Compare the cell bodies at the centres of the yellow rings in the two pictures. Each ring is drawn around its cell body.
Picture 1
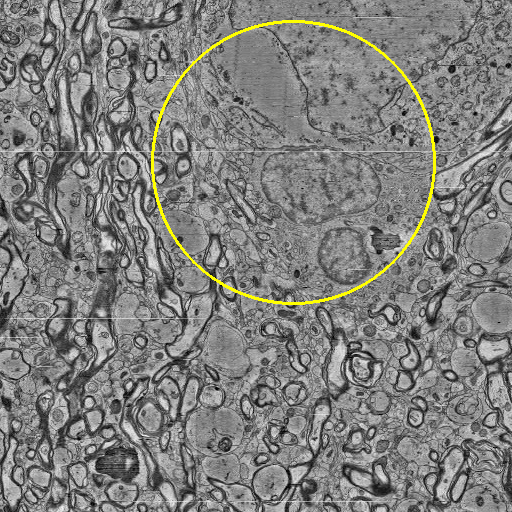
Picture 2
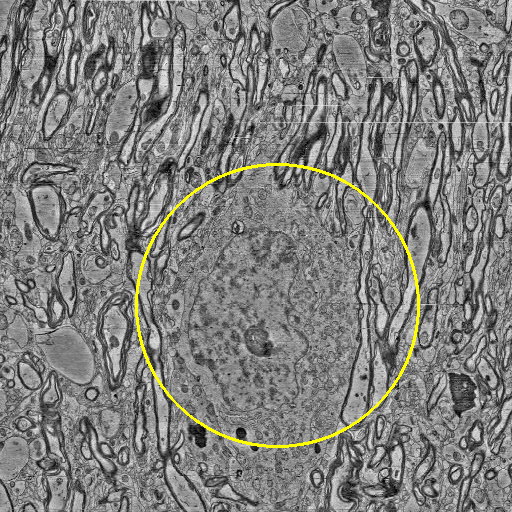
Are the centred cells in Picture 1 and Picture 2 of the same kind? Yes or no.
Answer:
no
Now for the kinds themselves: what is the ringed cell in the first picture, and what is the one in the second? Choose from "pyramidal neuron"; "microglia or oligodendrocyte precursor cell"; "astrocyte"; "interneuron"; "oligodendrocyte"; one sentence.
Here the first cell is an oligodendrocyte and the second cell is an interneuron.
